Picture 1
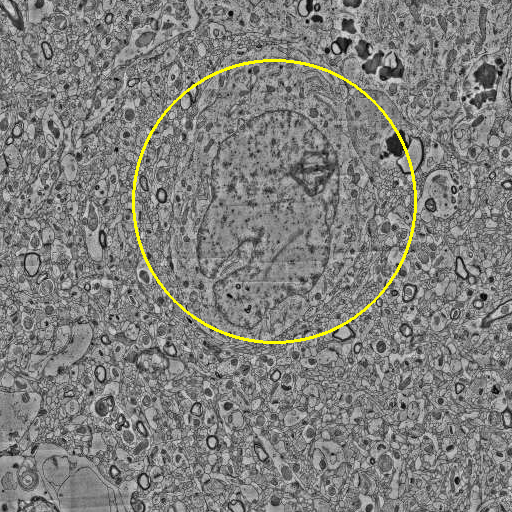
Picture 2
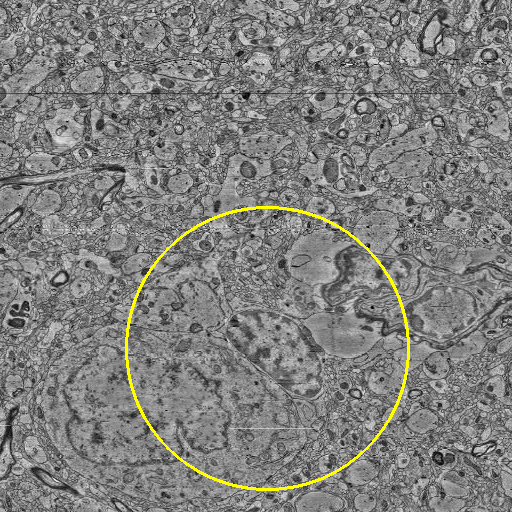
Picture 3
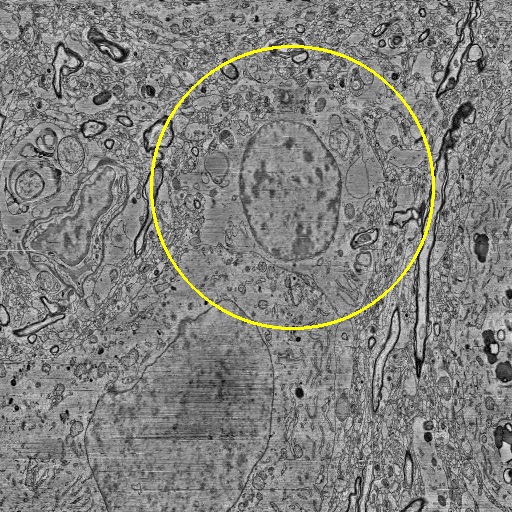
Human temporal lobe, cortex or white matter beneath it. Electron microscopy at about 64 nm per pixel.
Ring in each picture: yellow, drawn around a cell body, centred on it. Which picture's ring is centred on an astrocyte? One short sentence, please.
Picture 3 is the one.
